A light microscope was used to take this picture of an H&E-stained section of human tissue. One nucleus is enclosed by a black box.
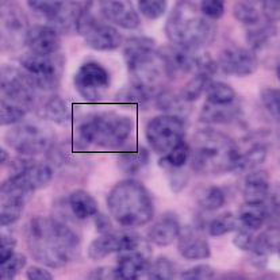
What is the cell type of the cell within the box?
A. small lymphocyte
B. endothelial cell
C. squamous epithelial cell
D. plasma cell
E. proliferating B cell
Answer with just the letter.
E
